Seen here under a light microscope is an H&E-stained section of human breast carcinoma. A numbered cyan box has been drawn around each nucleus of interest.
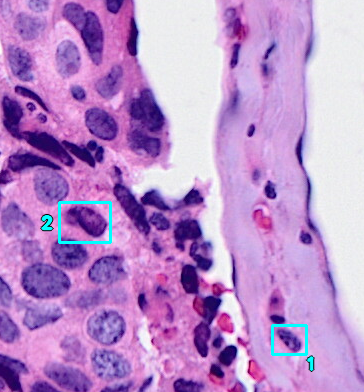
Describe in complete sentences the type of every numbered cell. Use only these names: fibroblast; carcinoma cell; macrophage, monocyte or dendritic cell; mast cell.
Cell 1 is a mast cell. Cell 2 is a carcinoma cell.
